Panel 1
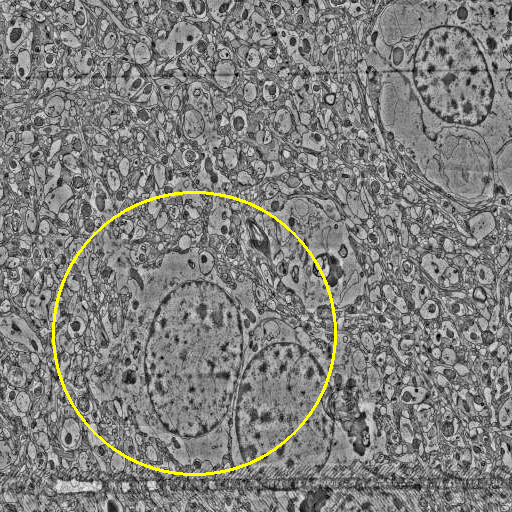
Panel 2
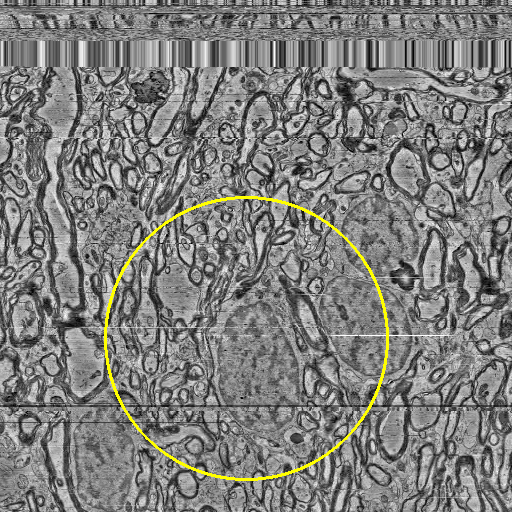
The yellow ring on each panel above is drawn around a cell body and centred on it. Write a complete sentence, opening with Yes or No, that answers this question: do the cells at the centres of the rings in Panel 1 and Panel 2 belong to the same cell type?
No, the two cells belong to two cell types.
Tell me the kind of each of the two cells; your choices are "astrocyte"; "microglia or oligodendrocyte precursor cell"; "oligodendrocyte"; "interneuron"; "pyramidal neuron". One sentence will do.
The ringed cell is an astrocyte in the first picture and an oligodendrocyte in the second picture.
